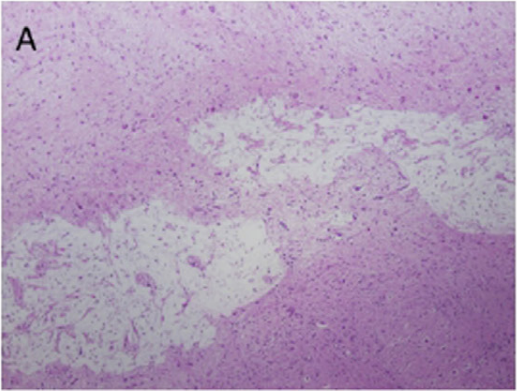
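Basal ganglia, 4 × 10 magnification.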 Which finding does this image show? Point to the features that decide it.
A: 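An irregular pale, loose, largely empty area runs across the middle of the tissue. Sparse cells and delicate strands lie within the pale area. Denser pink tissue surrounds it above and below. That points to this answer: Cavity lesion.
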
